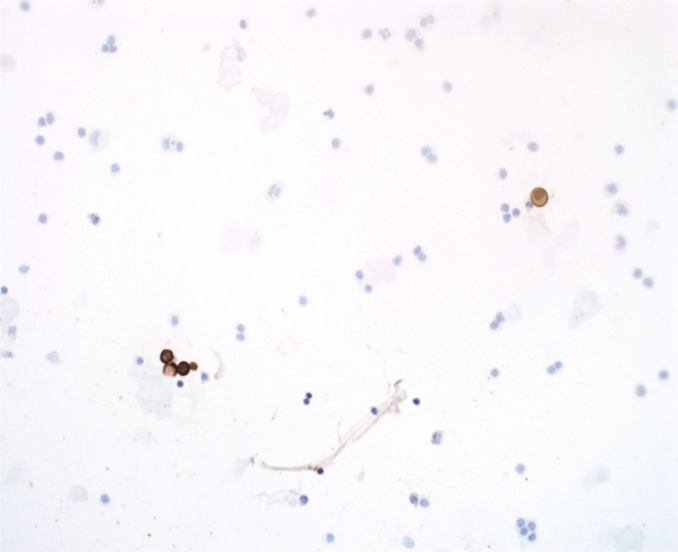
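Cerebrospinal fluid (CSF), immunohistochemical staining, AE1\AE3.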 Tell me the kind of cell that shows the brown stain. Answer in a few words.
Atypical epithelioid cells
